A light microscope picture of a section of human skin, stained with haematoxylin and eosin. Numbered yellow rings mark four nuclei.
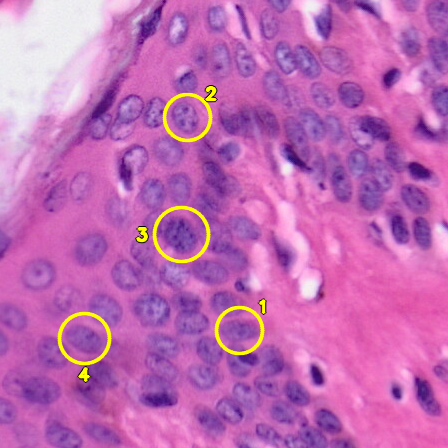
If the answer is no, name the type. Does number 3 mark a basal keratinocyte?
Yes.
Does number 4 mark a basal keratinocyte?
No, it is a suprabasal keratinocyte.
